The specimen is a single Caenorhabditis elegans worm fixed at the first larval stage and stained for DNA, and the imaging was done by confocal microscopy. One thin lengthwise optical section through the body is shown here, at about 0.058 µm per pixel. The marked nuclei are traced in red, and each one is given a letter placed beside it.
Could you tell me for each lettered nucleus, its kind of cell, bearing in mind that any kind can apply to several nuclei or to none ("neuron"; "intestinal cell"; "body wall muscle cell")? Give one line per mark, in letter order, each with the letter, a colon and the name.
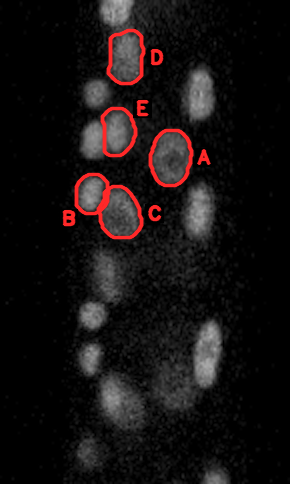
A: intestinal cell
B: neuron
C: intestinal cell
D: intestinal cell
E: body wall muscle cell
